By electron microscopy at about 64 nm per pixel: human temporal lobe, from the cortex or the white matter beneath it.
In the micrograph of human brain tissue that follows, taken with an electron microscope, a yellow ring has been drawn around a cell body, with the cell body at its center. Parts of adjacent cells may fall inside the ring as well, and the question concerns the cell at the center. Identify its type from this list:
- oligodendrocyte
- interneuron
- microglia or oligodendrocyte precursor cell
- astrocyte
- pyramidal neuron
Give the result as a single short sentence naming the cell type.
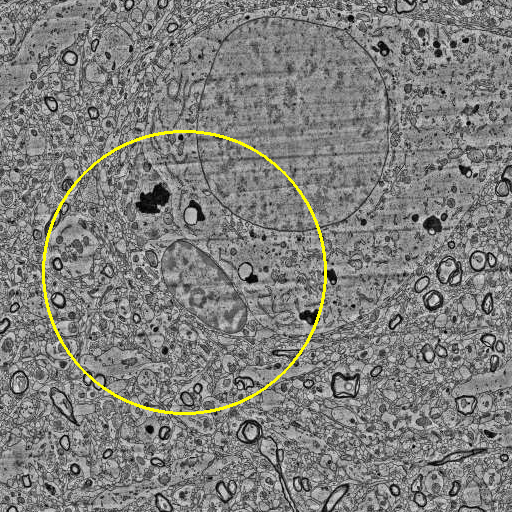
The ring is centered on a microglial cell or oligodendrocyte precursor cell.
